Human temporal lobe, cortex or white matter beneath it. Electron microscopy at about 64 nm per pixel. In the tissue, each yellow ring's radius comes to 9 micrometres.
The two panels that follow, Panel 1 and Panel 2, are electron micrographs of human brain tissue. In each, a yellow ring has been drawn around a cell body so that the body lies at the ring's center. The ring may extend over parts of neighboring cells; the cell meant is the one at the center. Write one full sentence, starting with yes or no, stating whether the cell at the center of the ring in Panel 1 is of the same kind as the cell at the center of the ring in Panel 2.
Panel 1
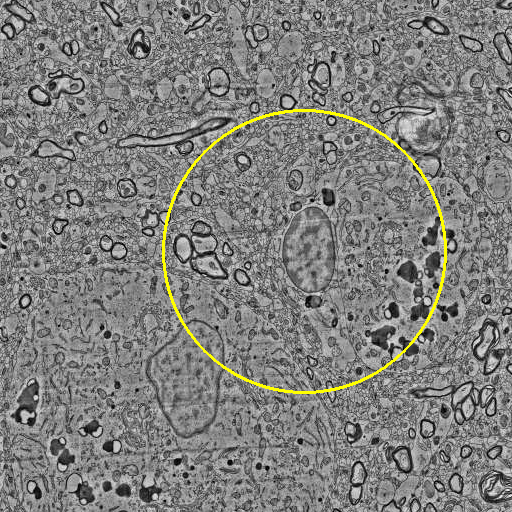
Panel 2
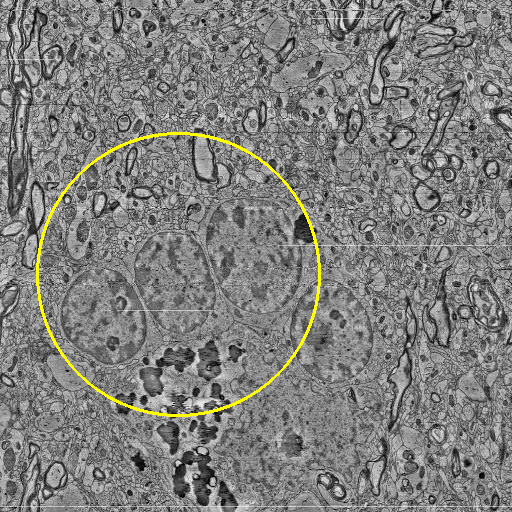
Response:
No, the cells in the two panels are of two kinds.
